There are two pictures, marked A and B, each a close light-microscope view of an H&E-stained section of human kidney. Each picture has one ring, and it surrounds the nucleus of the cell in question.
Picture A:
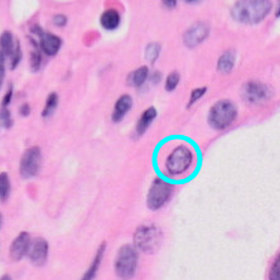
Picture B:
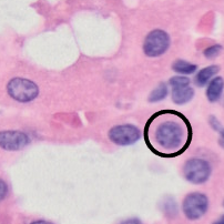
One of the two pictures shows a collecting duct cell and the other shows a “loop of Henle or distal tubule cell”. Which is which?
A: collecting duct cell
B: loop of Henle or distal tubule cell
